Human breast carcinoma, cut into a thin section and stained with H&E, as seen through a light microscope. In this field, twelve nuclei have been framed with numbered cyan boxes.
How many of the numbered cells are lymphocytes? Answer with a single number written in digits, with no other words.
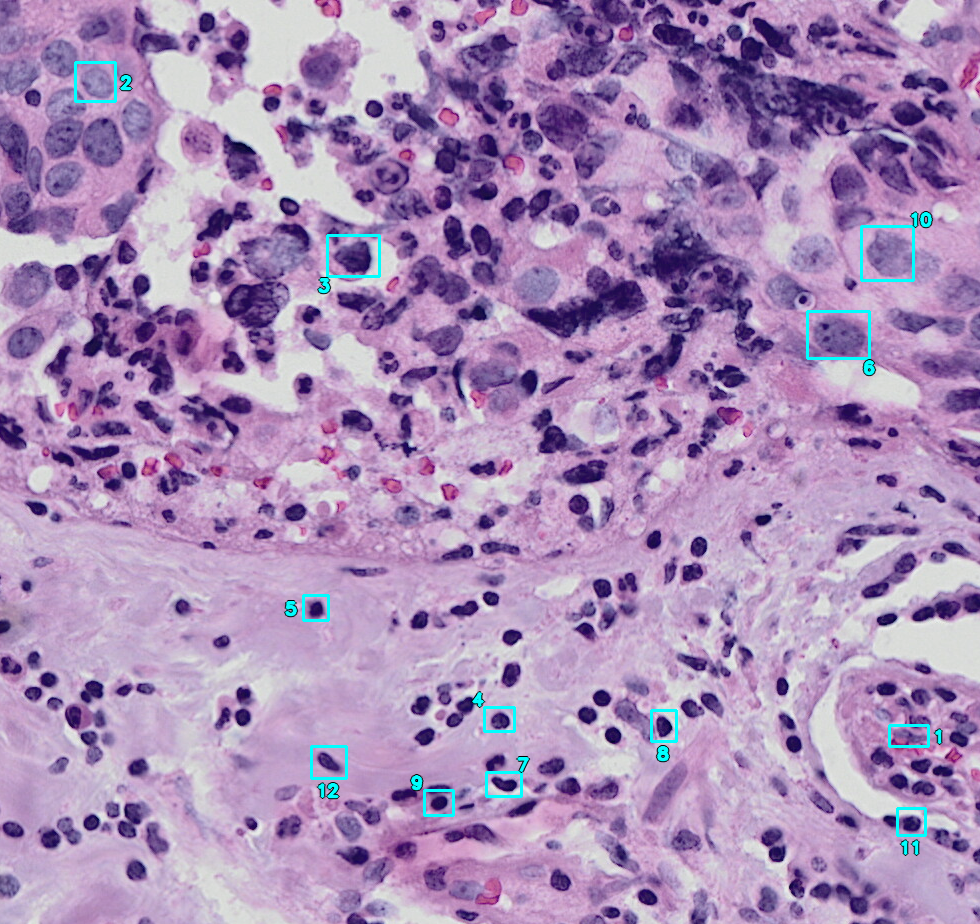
7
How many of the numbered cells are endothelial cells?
1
